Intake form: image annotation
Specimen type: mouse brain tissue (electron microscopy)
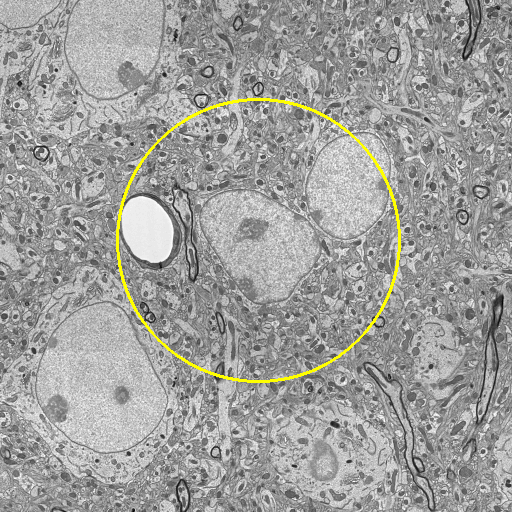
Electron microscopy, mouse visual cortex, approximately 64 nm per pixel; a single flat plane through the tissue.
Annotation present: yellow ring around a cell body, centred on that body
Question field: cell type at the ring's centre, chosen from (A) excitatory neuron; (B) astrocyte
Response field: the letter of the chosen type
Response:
B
